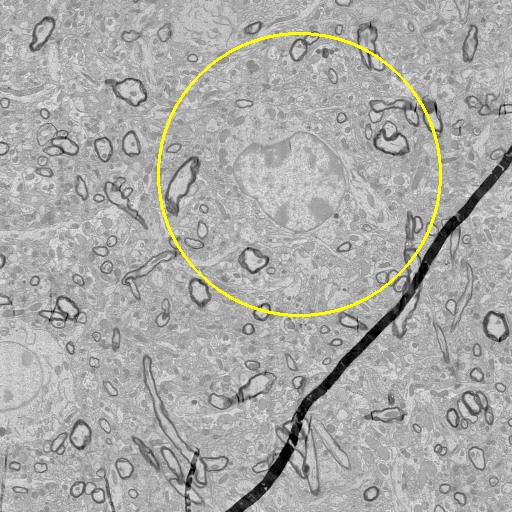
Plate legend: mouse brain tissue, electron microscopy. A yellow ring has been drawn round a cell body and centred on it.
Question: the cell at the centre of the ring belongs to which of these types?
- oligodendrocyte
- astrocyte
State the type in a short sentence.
The cell in the middle of the ring is an oligodendrocyte.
